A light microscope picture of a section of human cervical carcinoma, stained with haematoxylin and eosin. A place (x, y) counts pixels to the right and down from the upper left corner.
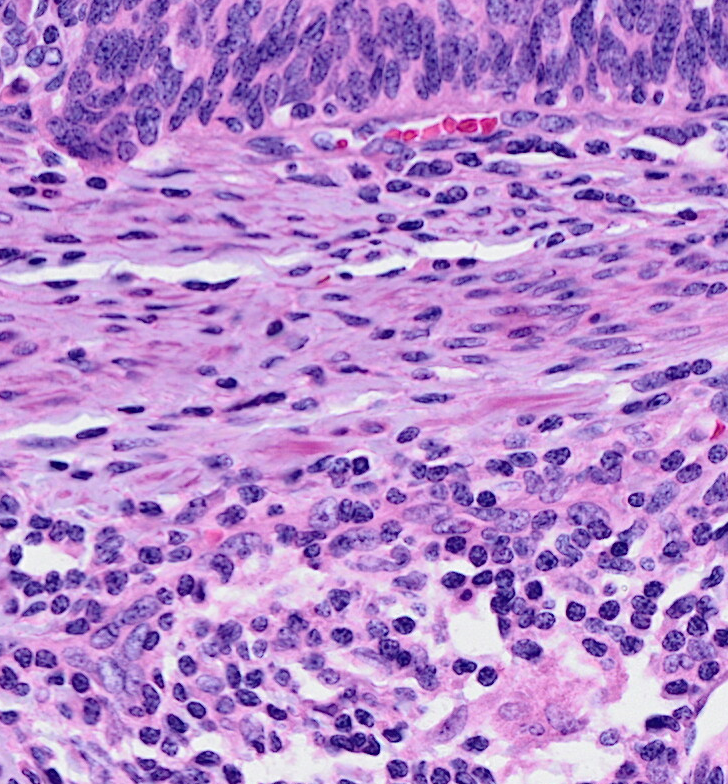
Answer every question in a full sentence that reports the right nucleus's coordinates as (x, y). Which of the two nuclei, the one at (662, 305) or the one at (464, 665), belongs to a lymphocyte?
Answering which nucleus it is: the one at (464, 665), belonging to a lymphocyte.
